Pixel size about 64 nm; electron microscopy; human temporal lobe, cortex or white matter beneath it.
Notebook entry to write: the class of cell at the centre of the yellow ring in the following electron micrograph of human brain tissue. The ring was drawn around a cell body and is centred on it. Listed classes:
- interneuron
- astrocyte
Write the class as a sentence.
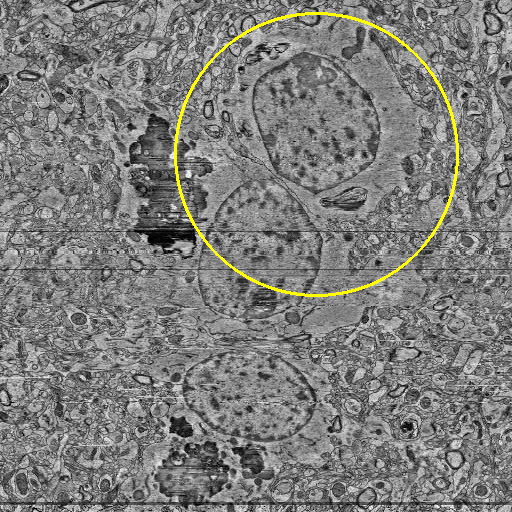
The yellow ring sits on an astrocyte.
